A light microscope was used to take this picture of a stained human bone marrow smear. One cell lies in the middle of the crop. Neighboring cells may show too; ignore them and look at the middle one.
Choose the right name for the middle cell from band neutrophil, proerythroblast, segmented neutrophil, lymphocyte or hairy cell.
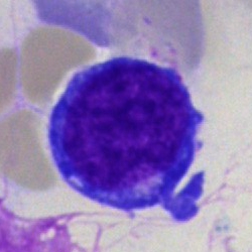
proerythroblast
